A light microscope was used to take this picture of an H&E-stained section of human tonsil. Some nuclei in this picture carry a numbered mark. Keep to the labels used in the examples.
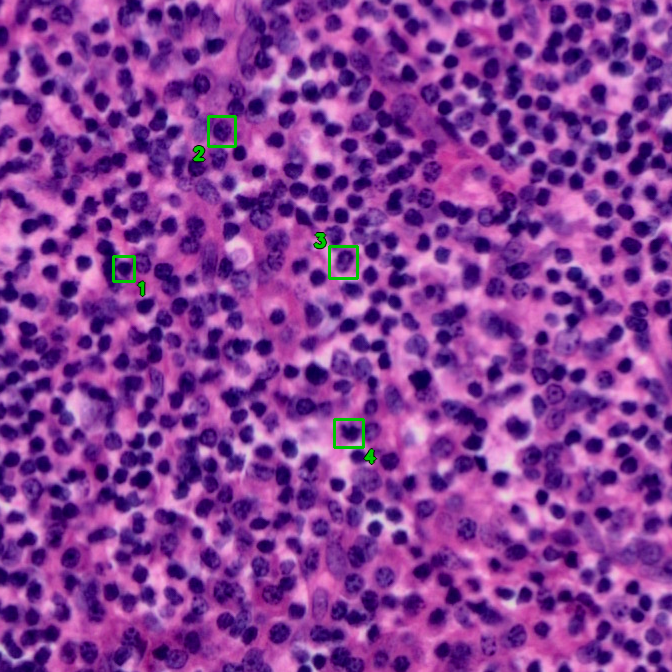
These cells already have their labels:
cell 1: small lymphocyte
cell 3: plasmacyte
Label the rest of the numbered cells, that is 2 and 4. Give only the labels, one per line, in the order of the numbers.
plasmacyte
plasmacyte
